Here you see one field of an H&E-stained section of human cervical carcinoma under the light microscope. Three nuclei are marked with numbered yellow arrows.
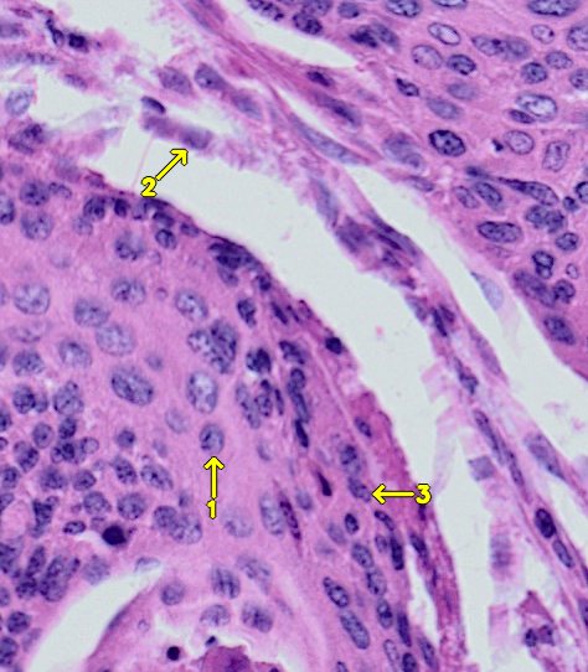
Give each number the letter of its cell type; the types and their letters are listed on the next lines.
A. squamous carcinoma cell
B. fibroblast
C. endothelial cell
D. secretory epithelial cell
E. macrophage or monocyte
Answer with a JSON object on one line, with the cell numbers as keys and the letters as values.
{"1": "A", "2": "B", "3": "A"}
